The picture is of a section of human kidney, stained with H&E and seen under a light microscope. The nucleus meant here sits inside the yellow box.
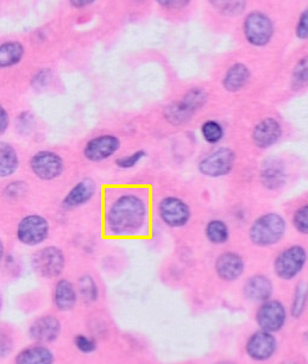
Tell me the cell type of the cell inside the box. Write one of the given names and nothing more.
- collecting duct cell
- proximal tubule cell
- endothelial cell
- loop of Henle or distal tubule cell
loop of Henle or distal tubule cell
